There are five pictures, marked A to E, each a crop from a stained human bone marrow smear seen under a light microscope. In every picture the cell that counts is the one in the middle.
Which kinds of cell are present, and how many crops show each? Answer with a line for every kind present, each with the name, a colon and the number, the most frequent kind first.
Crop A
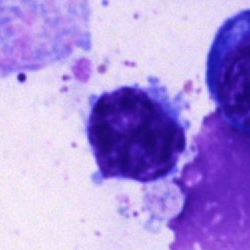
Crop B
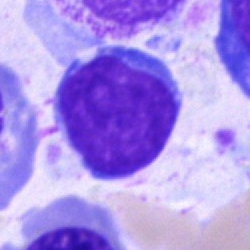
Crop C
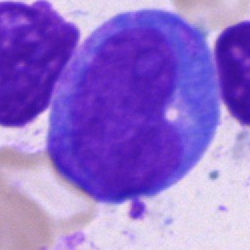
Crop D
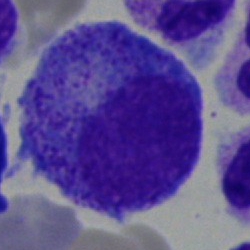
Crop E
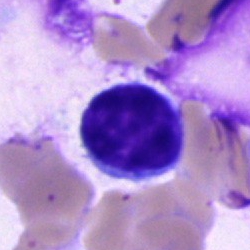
lymphocyte: 3
promyelocyte: 2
